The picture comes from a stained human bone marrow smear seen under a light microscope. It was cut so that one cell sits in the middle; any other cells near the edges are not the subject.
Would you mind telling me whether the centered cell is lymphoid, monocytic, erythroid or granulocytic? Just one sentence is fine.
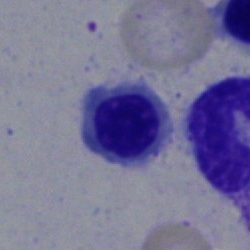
The cell at the very center of the crop belongs to the erythroid lineage.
